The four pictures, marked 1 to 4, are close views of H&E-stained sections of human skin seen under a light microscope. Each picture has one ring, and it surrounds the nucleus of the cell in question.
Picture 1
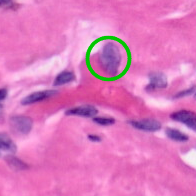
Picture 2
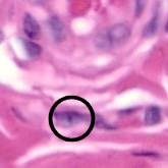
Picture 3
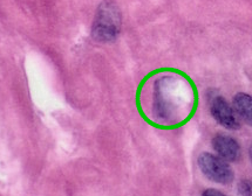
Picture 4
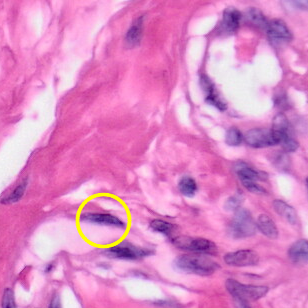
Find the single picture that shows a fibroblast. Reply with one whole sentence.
Picture 3 shows the fibroblast.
